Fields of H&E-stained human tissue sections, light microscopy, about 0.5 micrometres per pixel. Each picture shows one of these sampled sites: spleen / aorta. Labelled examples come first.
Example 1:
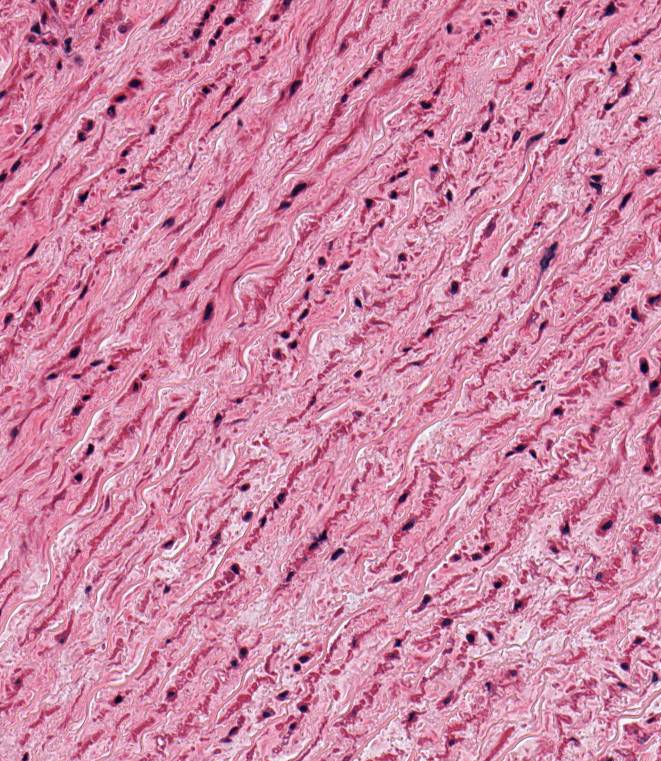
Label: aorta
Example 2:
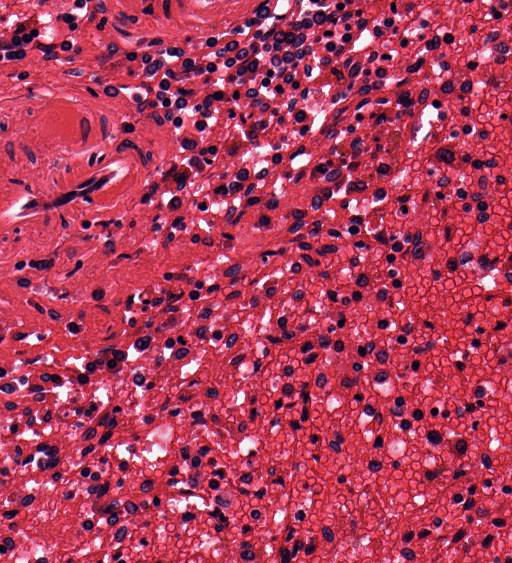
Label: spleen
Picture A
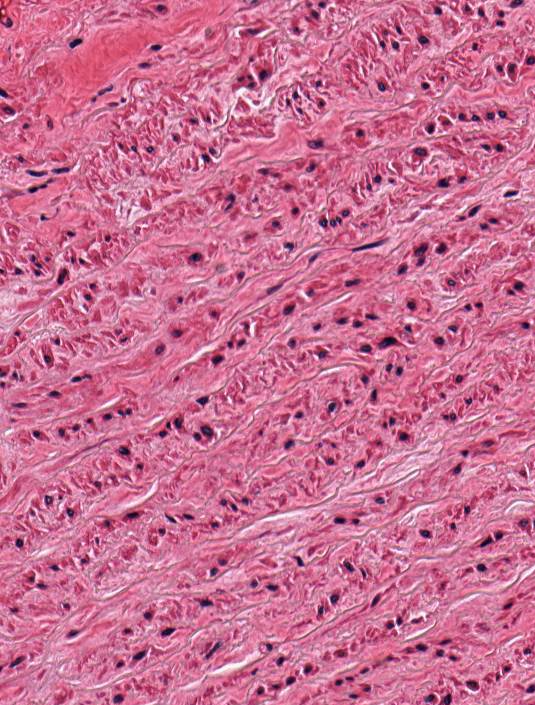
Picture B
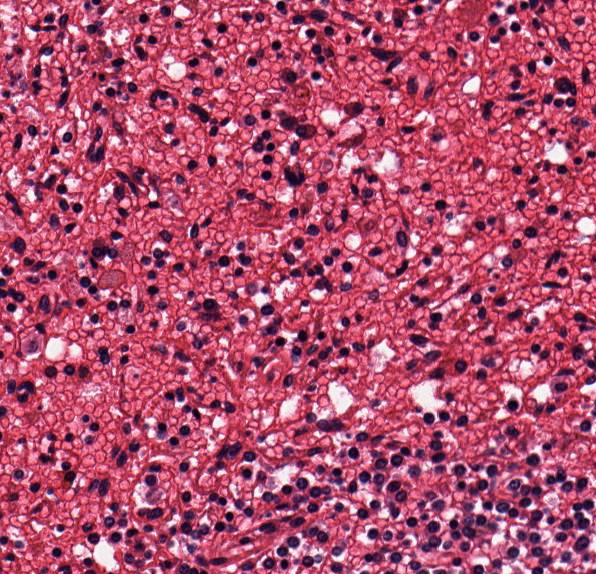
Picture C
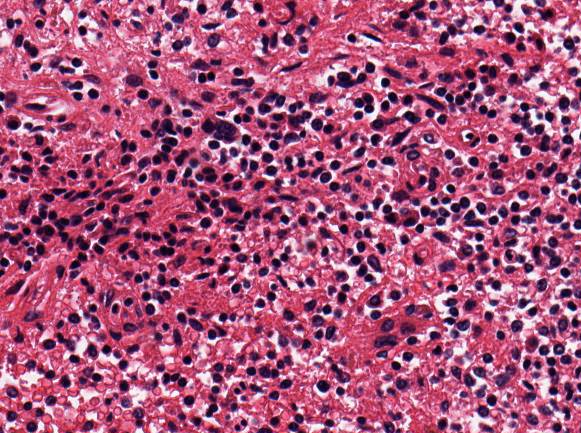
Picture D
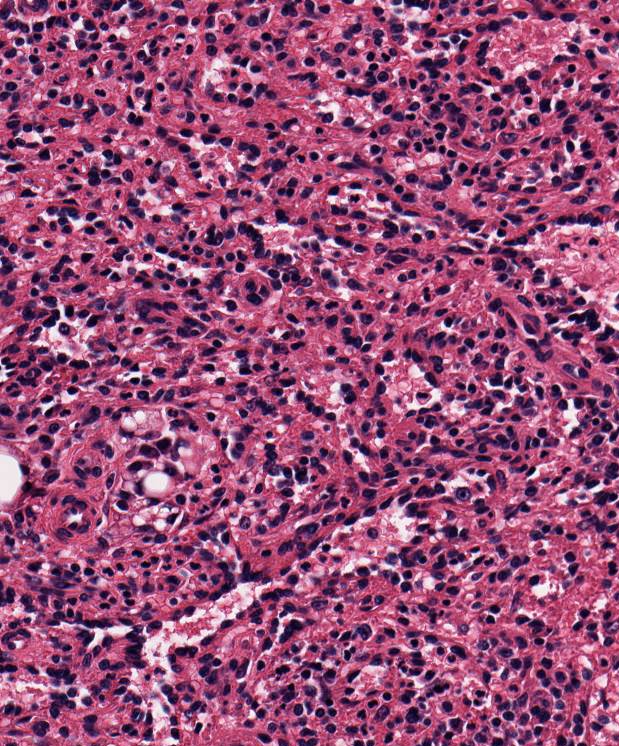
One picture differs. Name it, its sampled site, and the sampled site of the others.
A: aorta; all the others: spleen.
